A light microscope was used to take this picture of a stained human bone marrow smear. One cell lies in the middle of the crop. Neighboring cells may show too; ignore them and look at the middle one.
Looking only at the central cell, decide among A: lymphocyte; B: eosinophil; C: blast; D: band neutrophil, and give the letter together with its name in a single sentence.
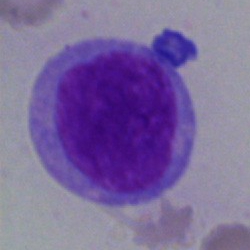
The correct option, C, names the middle cell as a blast.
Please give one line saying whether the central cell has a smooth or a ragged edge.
Its outline is smooth, with no projections anywhere along the edge.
